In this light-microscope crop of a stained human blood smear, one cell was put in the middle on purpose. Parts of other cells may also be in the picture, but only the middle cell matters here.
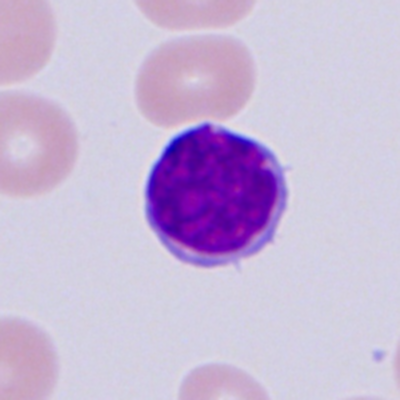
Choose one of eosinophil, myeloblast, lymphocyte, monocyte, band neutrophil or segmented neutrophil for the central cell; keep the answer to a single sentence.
The cell nearest the centre of this crop is a lymphocyte.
